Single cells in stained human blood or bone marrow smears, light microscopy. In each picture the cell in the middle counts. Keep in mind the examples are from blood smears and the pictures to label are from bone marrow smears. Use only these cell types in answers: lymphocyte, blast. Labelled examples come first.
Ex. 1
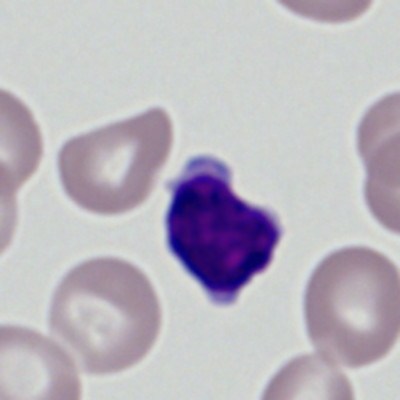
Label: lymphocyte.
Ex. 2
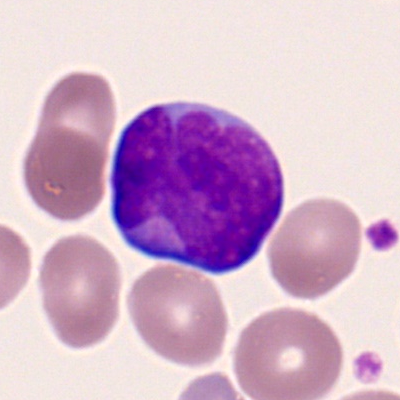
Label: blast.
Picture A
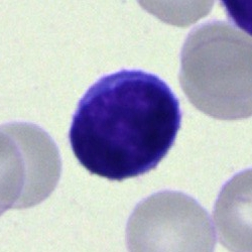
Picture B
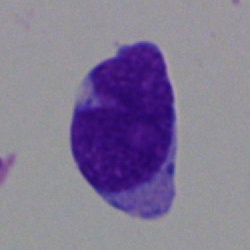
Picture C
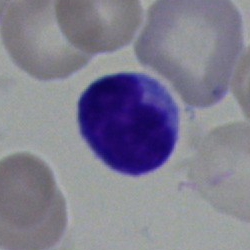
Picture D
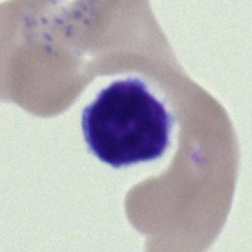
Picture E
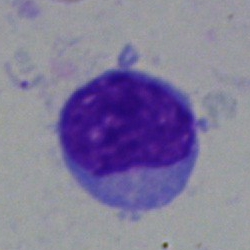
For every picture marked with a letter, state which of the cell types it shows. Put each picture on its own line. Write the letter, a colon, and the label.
A: lymphocyte.
B: blast.
C: lymphocyte.
D: lymphocyte.
E: blast.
